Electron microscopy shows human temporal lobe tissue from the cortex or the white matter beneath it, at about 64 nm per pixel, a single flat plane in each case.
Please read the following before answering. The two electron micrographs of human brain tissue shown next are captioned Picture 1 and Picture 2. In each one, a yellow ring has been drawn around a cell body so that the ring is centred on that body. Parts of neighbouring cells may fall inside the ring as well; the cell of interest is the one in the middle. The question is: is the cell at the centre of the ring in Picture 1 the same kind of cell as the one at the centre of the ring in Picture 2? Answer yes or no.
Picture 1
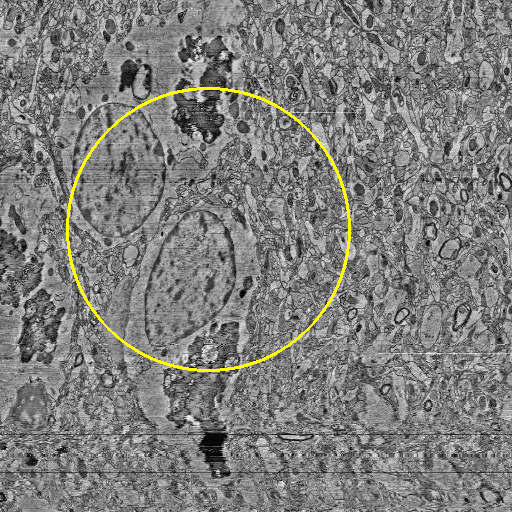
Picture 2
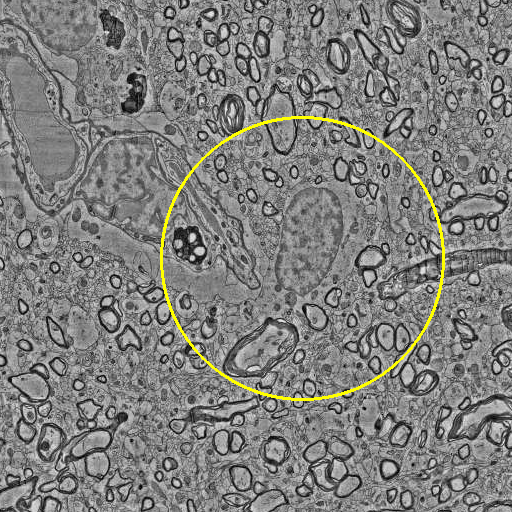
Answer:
no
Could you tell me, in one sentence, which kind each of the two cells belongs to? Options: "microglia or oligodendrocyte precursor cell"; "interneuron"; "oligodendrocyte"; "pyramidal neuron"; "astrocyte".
At the centre of the first ring sits an astrocyte, and at the centre of the second sits an oligodendrocyte.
